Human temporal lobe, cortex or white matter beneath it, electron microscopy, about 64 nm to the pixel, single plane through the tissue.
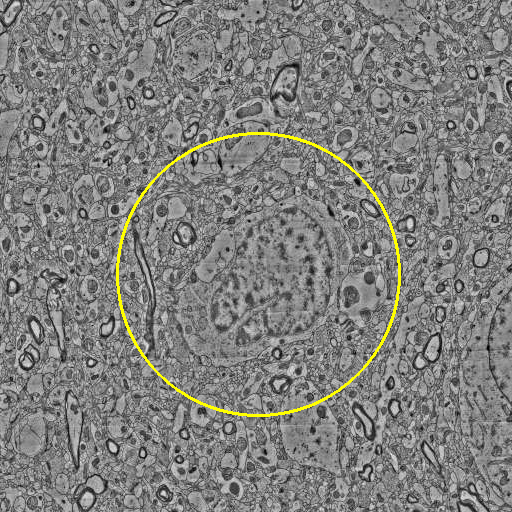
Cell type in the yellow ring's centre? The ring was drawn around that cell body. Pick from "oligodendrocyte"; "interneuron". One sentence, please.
The ringed cell body is that of an interneuron.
